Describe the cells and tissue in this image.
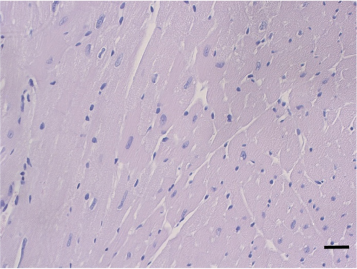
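Heart muscle with cardiac myocytes in longitudinal to oblique section, stained pale pink with blue nuclei. Myocytes are elongated, branching fibres running in roughly parallel rows. Nuclei are oval to elongated, pale with fine chromatin, lying within the fibres; smaller, darker, spindle-shaped nuclei between fibres suggest interstitial cells. Several clear white clefts and spaces separate groups of fibres, giving a loosened appearance, and the cytoplasm stains faintly and evenly. No inflammatory infiltrate is evident.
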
